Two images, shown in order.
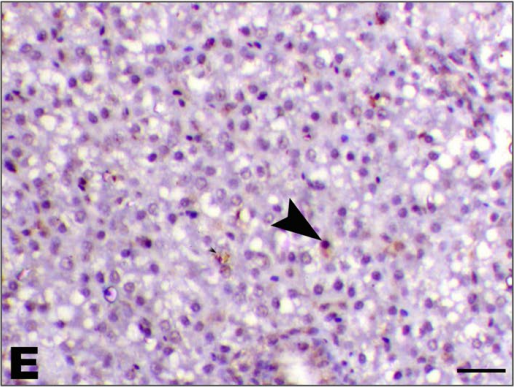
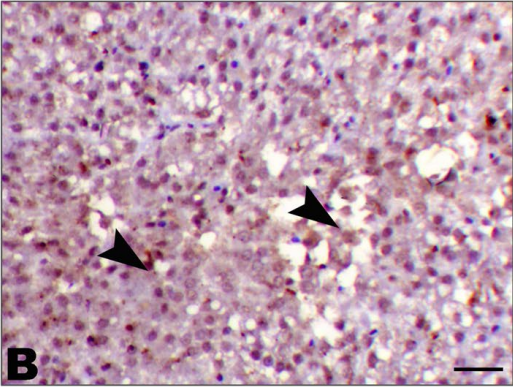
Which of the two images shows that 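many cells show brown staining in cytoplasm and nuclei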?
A: The second image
